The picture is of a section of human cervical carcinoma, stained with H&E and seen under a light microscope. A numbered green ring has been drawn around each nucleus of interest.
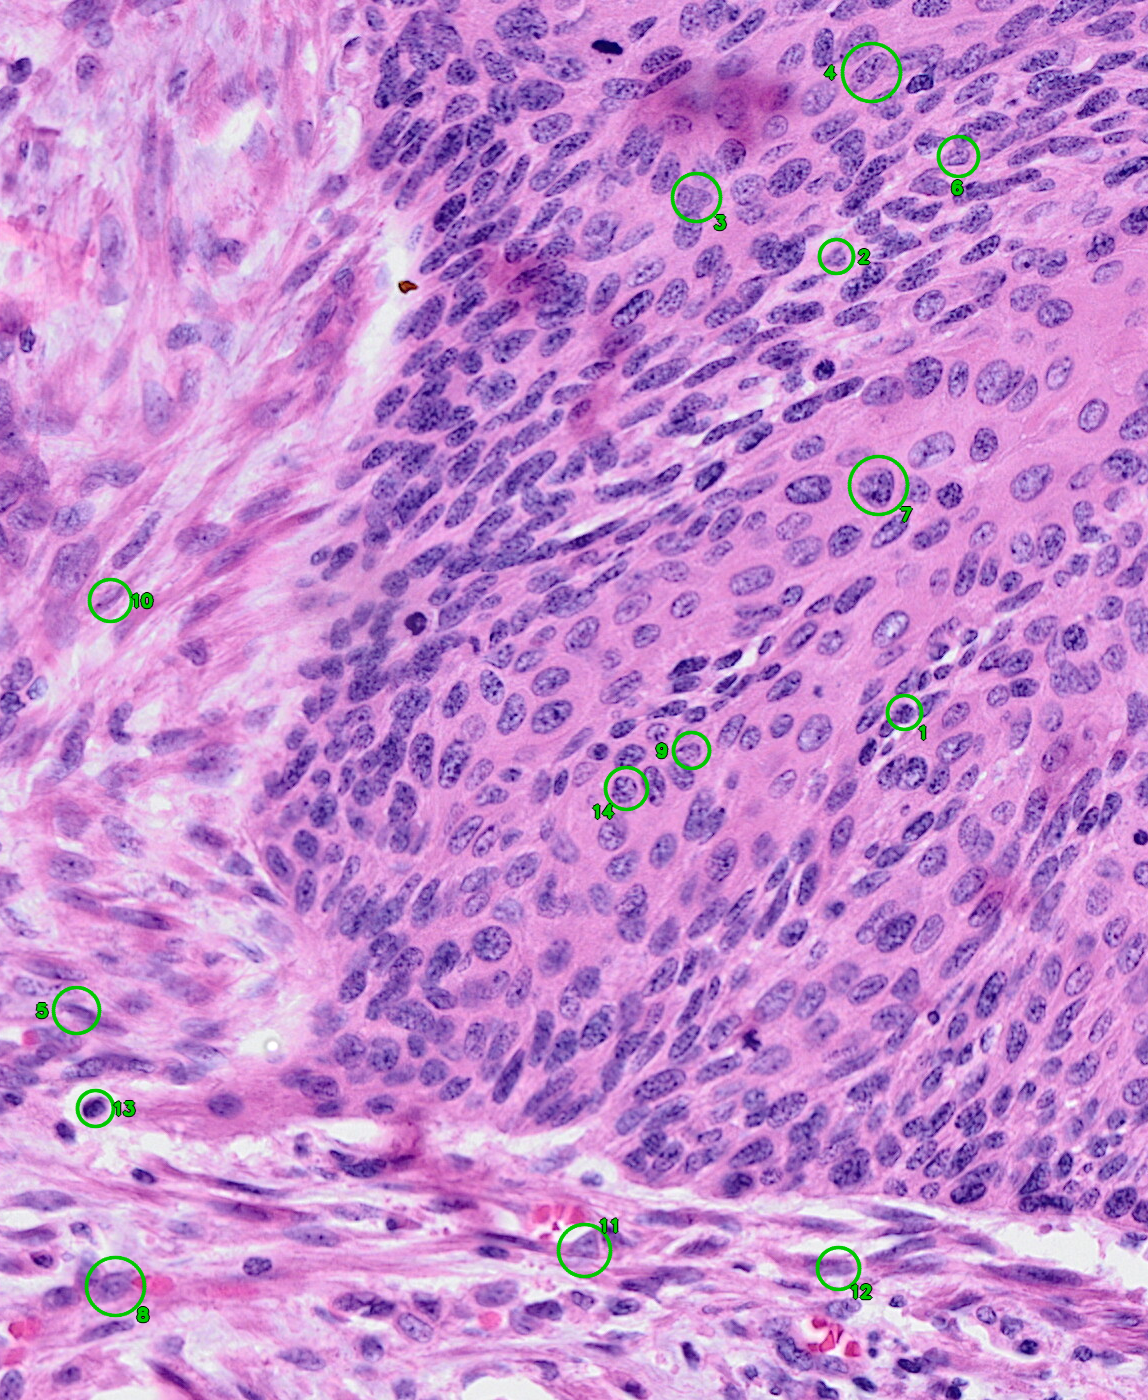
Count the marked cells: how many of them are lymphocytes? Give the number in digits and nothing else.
1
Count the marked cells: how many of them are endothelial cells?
2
